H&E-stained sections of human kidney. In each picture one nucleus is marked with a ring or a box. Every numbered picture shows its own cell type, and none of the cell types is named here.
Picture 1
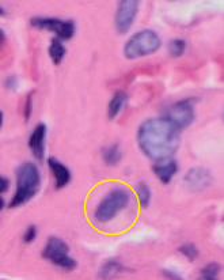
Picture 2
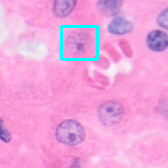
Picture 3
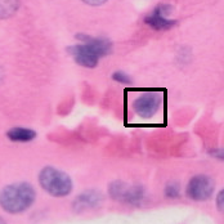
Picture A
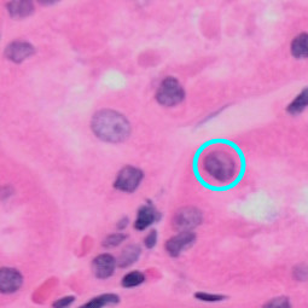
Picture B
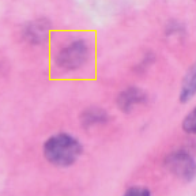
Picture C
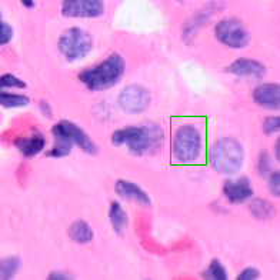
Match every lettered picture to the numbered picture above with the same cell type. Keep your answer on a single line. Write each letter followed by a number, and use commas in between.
A 2, B 2, C 1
